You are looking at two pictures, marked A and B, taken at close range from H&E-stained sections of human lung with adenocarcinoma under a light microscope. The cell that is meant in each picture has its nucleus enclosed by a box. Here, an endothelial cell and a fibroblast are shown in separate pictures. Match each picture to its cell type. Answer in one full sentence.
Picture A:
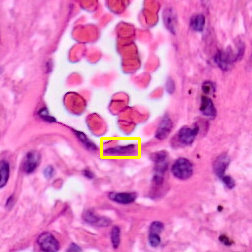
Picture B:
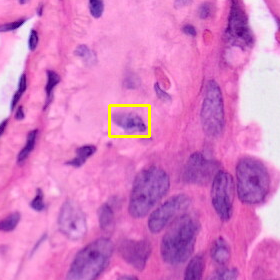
It is picture A that shows an endothelial cell, and picture B that shows a fibroblast.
